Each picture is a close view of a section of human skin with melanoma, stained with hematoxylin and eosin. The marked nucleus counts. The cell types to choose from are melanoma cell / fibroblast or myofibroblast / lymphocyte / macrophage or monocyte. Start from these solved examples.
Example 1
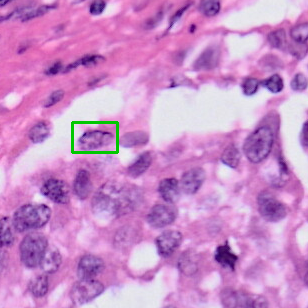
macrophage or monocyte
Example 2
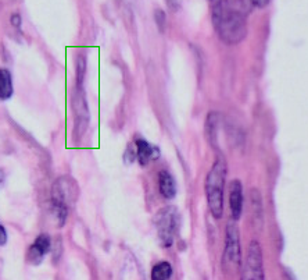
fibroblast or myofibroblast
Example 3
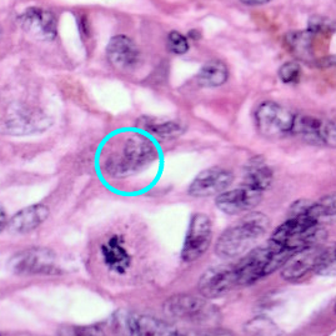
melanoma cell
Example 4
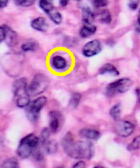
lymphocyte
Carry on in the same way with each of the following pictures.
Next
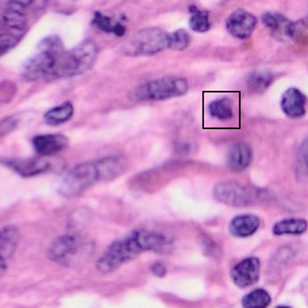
lymphocyte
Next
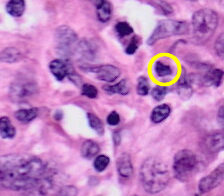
lymphocyte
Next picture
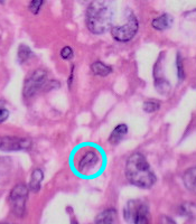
macrophage or monocyte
